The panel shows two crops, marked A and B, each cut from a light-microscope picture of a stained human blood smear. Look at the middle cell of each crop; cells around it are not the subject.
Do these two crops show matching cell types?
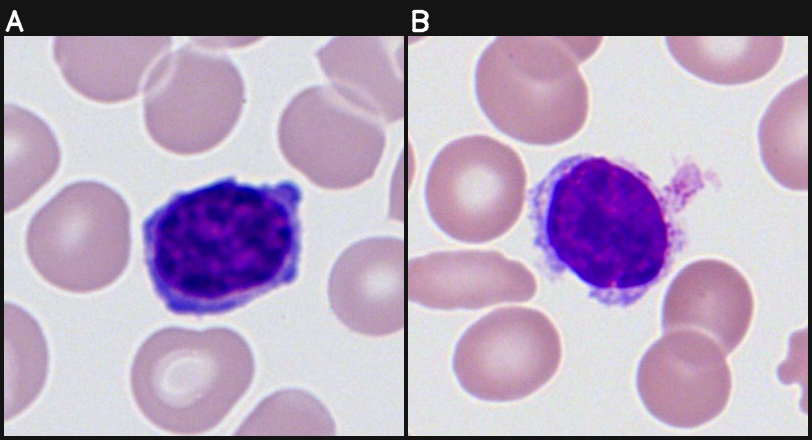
yes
